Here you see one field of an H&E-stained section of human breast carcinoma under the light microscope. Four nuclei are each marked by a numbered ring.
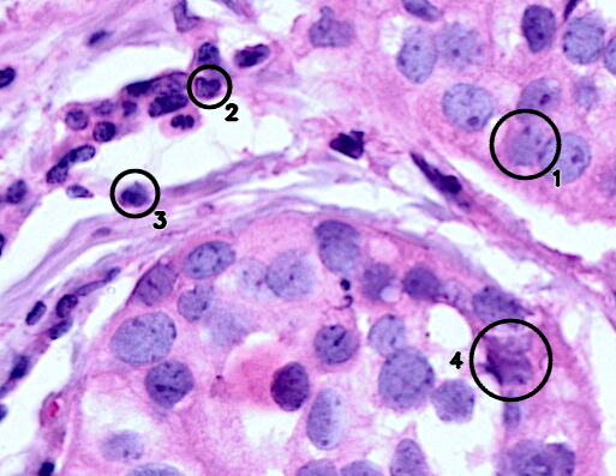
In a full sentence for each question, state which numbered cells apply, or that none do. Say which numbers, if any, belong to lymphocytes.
The cells which carry the numbers 2 and 3 are lymphocytes.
